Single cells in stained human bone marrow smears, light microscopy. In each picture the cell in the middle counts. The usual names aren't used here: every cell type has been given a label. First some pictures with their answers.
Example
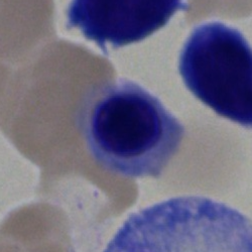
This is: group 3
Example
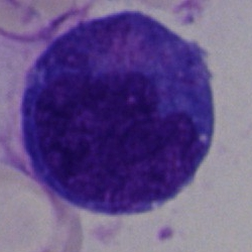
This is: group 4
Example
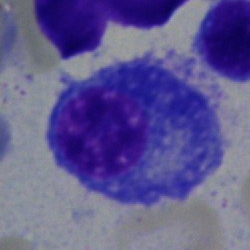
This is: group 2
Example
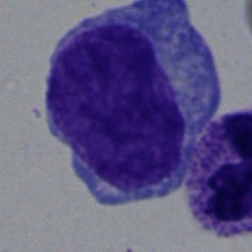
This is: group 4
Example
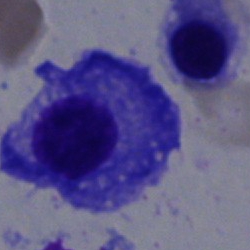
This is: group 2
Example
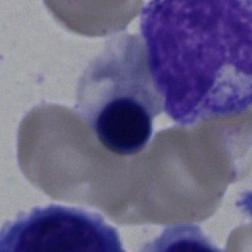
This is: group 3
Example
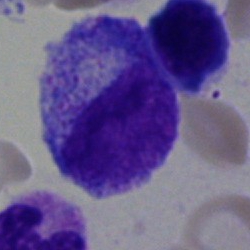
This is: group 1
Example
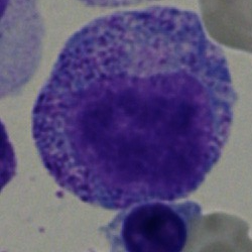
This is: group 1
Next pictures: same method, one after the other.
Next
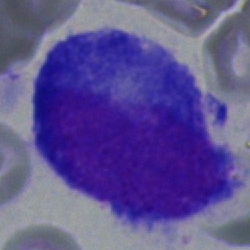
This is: group 1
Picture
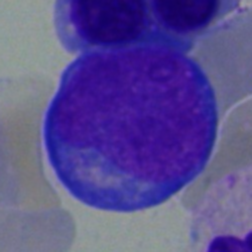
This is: group 4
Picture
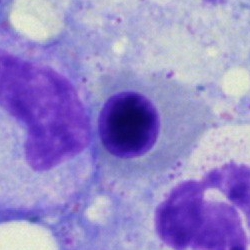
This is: group 3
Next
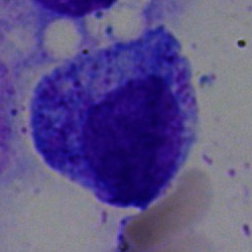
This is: group 1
